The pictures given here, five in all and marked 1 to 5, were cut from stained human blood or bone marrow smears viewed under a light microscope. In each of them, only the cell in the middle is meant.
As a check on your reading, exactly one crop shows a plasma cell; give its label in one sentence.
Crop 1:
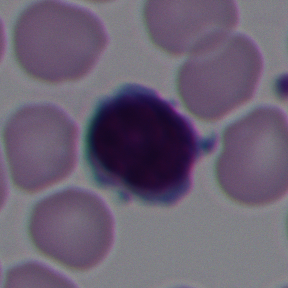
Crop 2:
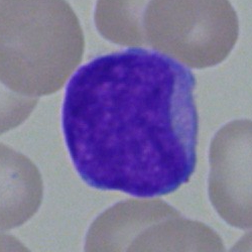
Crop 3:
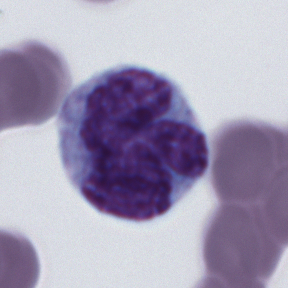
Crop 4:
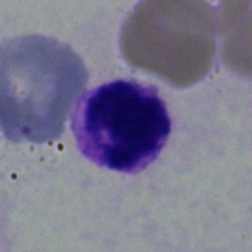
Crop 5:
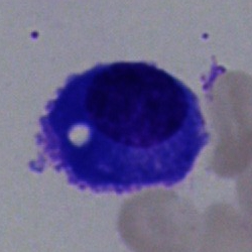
The crop marked 5 is the one that shows a plasma cell.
